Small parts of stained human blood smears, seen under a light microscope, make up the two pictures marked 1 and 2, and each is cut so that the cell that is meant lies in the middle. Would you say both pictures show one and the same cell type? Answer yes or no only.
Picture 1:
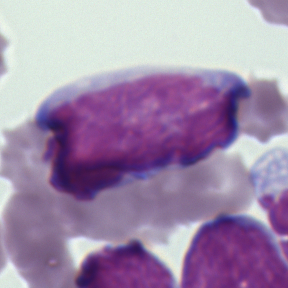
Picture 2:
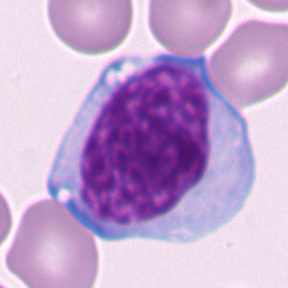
yes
